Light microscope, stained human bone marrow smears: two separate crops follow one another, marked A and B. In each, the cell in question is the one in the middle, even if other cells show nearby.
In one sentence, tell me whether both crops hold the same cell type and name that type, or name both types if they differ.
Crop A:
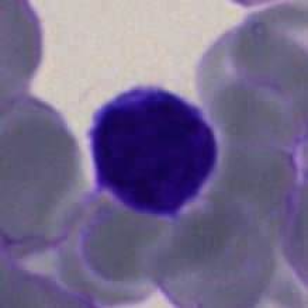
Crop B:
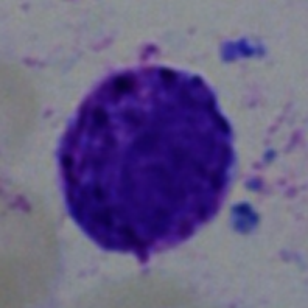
No, the cell in crop A is a lymphocyte, and the cell in crop B is a basophil.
